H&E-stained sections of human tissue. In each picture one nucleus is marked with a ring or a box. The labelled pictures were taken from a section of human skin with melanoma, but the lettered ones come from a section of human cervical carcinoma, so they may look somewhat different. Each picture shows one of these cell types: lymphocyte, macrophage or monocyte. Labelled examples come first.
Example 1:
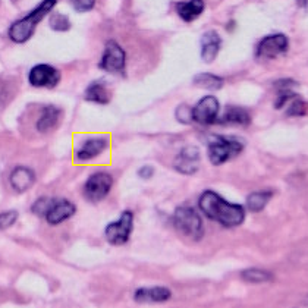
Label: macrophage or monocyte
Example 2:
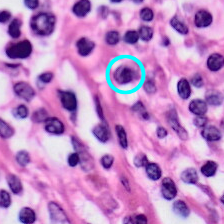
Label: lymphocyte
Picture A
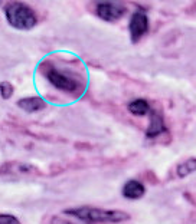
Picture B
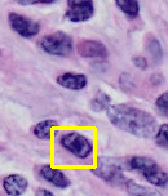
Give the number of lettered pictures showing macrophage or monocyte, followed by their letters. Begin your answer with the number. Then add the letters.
1, namely A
